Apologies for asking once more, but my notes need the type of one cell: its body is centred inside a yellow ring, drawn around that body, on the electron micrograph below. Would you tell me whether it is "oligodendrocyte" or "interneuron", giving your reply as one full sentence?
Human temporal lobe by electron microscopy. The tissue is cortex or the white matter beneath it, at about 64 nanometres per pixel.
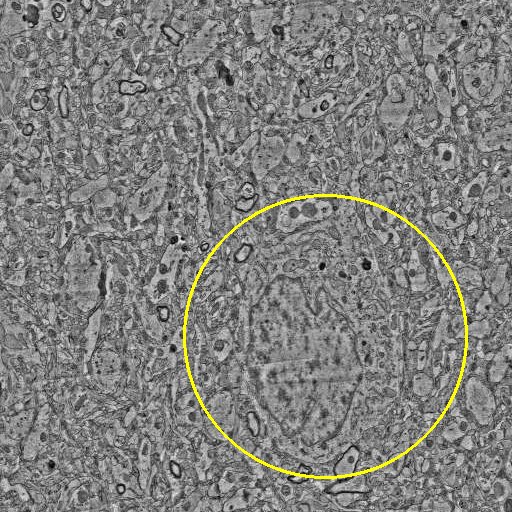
The cell that the yellow ring is centred on is an interneuron in this micrograph.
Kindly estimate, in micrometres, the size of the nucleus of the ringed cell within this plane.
In this plane the nucleus measures about 11 by 7 micrometres and is clearly longer than it is wide.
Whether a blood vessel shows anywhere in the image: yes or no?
No, there is no blood vessel in the image.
